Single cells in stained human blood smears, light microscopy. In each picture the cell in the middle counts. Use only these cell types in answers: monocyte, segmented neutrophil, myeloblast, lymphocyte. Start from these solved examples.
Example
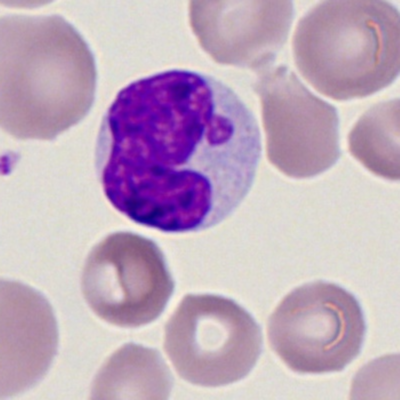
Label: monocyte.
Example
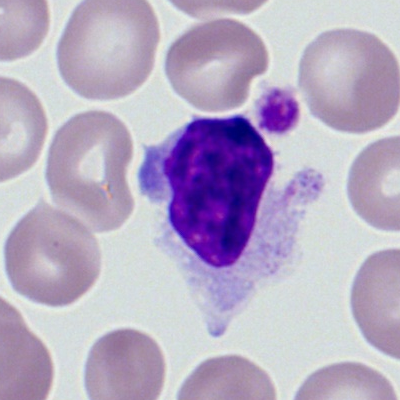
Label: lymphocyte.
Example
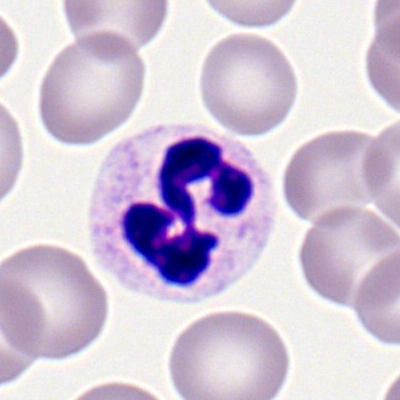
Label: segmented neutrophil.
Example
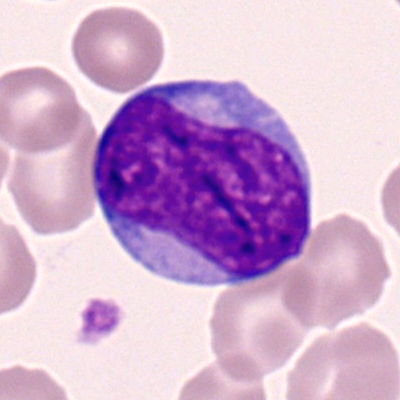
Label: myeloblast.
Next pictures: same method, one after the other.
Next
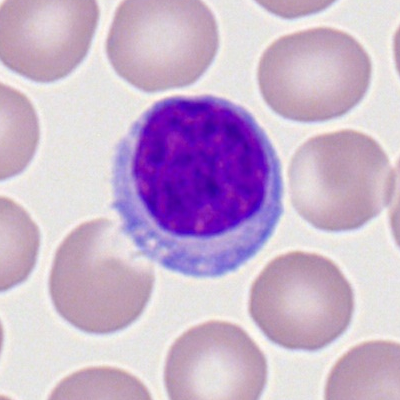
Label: lymphocyte.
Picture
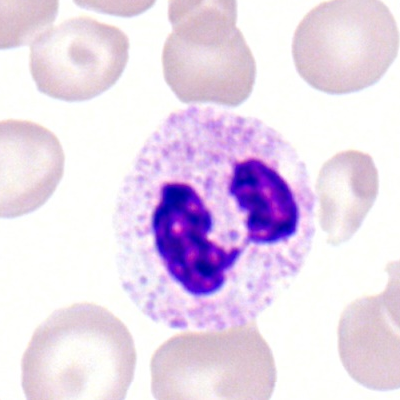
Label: segmented neutrophil.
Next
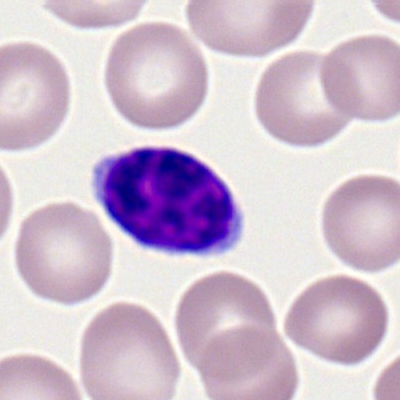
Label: lymphocyte.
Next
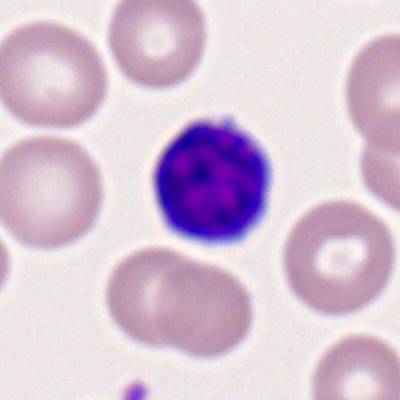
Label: lymphocyte.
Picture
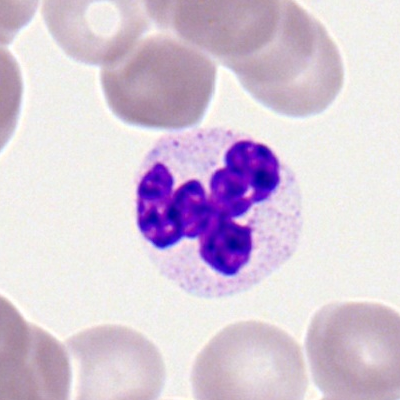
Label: segmented neutrophil.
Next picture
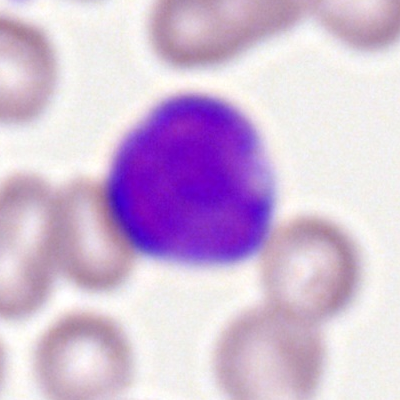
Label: myeloblast.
